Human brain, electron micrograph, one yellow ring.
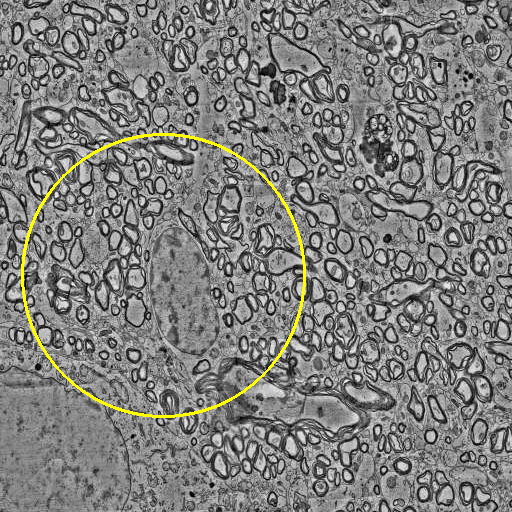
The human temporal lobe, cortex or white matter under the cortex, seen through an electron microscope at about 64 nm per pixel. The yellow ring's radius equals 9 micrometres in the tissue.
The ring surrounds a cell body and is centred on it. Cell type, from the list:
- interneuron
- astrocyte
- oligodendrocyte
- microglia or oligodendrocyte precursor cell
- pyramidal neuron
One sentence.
The yellow ring circles a microglial cell or oligodendrocyte precursor cell.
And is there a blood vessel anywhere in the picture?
No, a blood vessel is absent from this picture.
